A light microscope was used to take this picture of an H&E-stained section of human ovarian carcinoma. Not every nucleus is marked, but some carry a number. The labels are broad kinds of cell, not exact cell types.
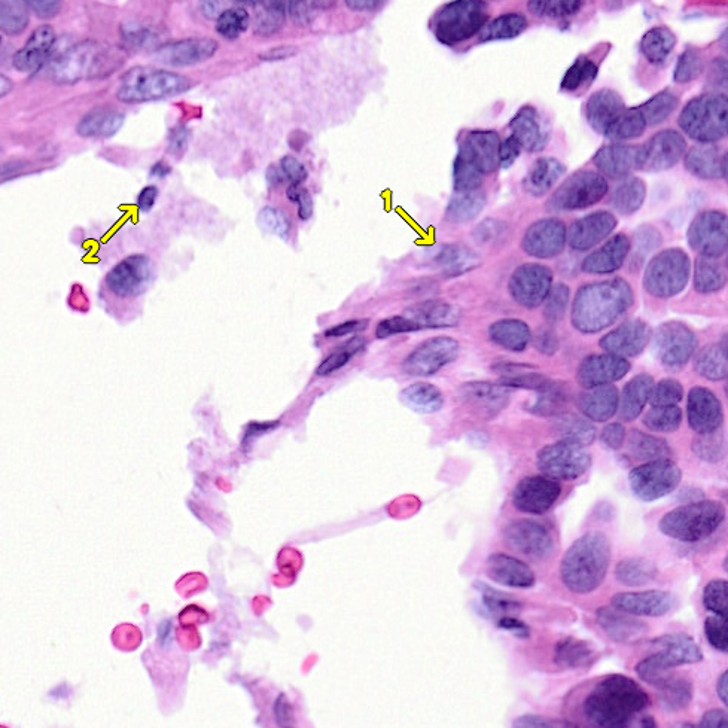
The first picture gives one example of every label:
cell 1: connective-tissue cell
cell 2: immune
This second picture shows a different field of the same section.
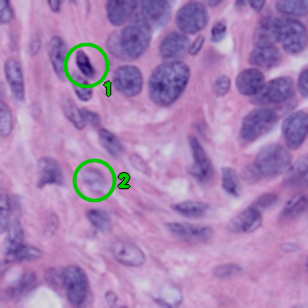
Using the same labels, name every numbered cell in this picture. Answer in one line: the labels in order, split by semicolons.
immune; connective-tissue cell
